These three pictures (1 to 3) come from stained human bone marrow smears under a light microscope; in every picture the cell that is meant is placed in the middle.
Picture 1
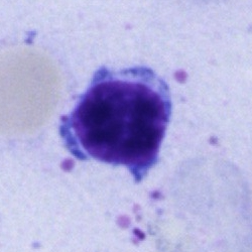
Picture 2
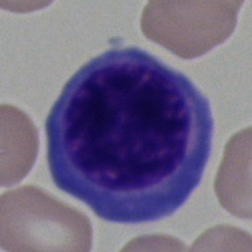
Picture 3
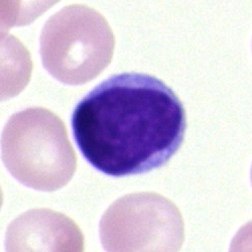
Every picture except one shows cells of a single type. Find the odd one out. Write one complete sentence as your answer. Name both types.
Picture 2 differs, because its cell is an erythroblast and the rest are lymphocytes.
